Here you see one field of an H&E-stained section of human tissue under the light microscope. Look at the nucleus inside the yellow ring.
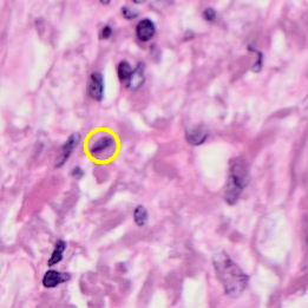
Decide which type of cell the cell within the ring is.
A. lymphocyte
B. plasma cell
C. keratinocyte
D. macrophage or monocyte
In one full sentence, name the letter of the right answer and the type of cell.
Here the cell within the ring is a macrophage or monocyte, which makes option D correct.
